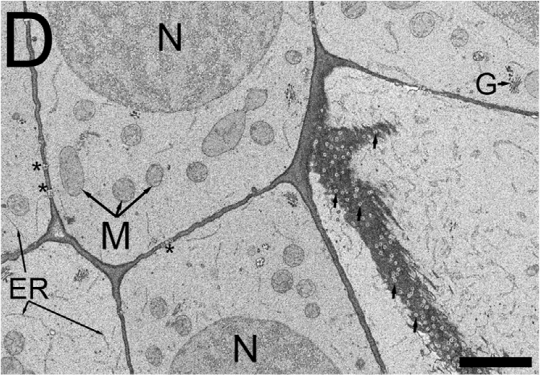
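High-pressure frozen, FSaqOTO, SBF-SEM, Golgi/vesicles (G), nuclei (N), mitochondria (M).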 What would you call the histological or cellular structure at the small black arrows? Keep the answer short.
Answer: plasmodesmata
